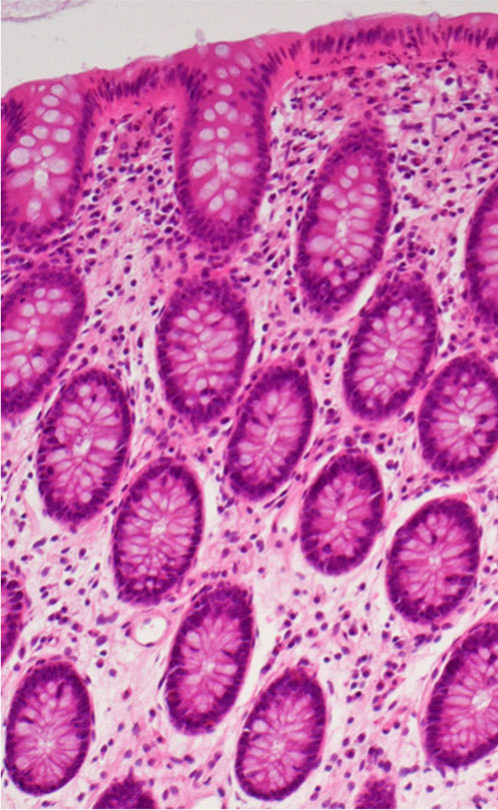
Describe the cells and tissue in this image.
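This is colonic mucosa at low power, with a pink surface epithelium along the top and many colonic crypts below, most cut in cross section. The crypts are round to oval, evenly spaced and of similar size, each lined by a single layer of cells with dark basal nuclei and filled with pale goblet cell mucin around a small central lumen. Between them the lamina propria mucosae is loose and holds many scattered small dark inflammatory cells.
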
